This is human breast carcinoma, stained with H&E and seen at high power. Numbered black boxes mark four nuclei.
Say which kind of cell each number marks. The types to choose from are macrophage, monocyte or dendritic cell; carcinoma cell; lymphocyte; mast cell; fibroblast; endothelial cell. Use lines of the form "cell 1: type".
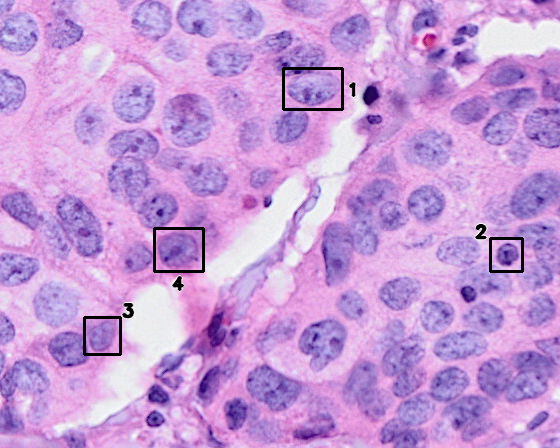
cell 1: carcinoma cell
cell 2: lymphocyte
cell 3: carcinoma cell
cell 4: carcinoma cell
